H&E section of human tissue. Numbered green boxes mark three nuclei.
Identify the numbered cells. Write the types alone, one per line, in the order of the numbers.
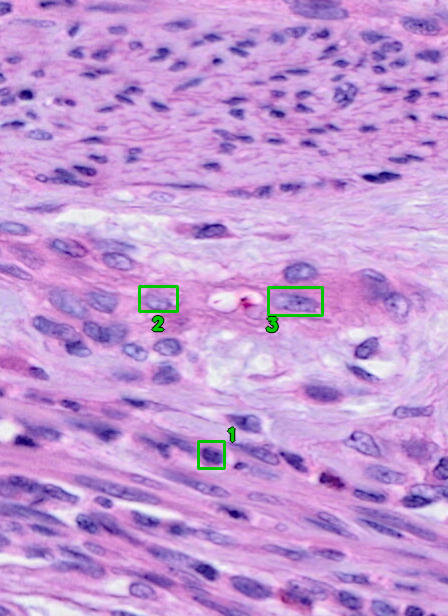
lymphocyte
endothelial cell
endothelial cell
